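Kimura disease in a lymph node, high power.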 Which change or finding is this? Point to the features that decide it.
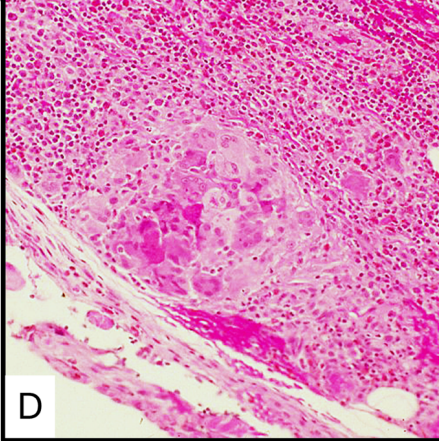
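A rounded cluster of pale histiocytic cells with multinucleated giant cells lies near the capsule. The cluster is surrounded by many cells with bright pink cytoplasm. That points to this answer: an eosinophilic granuloma.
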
